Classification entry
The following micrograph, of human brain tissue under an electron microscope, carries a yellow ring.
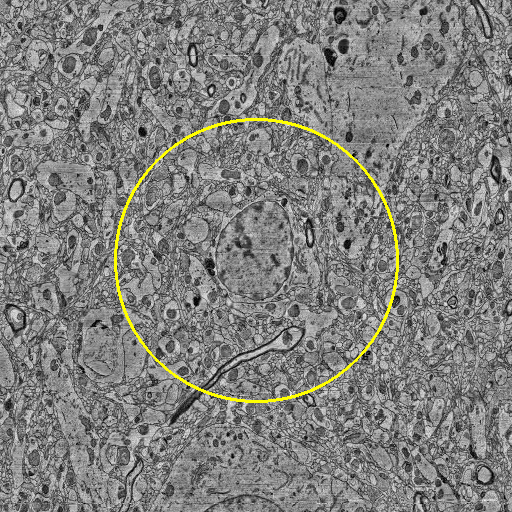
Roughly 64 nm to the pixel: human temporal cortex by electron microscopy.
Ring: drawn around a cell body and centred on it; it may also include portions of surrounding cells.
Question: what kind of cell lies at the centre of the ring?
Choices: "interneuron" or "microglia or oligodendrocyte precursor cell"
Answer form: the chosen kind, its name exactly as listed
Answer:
microglia or oligodendrocyte precursor cell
